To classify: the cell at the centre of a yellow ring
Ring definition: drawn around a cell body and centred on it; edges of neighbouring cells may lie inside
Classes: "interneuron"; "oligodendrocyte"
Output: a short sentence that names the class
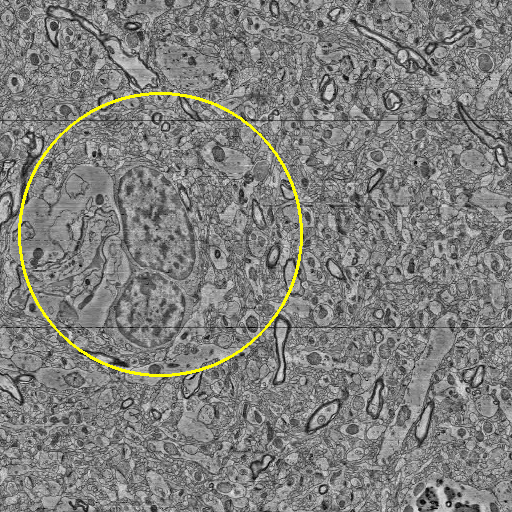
The ringed cell is an oligodendrocyte.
